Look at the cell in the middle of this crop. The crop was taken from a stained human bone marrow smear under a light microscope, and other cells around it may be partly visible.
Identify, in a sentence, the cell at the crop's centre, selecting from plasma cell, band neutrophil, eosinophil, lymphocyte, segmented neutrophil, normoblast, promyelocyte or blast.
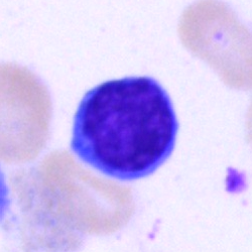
The cell occupying the middle of the crop is a lymphocyte.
